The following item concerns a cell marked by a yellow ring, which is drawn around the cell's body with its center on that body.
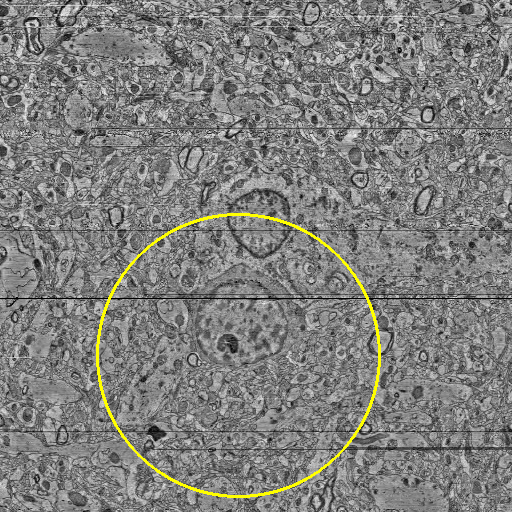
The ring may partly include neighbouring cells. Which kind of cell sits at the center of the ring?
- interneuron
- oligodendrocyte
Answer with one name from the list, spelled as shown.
oligodendrocyte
